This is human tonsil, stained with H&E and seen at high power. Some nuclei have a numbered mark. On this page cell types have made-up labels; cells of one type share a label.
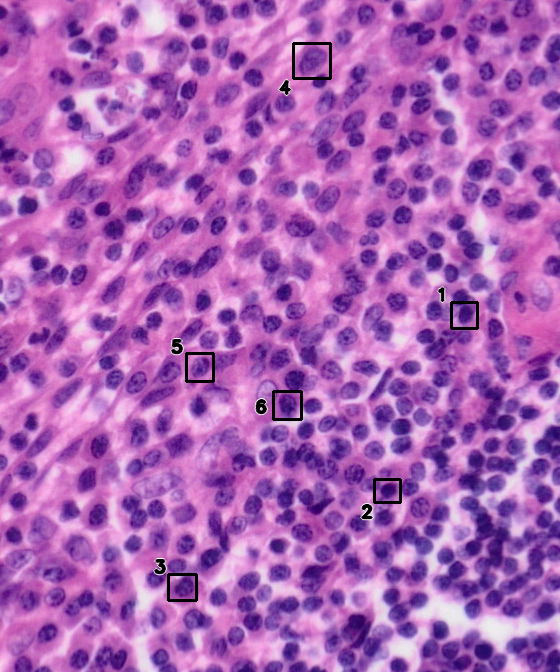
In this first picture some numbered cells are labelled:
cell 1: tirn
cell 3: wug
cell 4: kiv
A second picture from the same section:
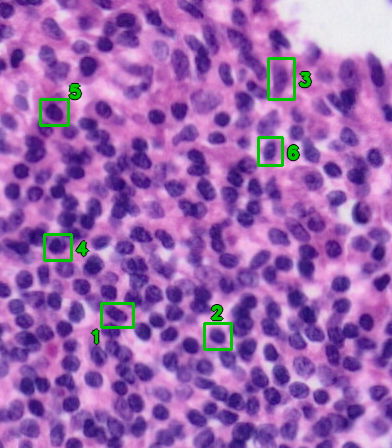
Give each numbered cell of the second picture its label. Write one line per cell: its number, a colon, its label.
1: tirn
2: tirn
3: kiv
4: tirn
5: wug
6: wug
